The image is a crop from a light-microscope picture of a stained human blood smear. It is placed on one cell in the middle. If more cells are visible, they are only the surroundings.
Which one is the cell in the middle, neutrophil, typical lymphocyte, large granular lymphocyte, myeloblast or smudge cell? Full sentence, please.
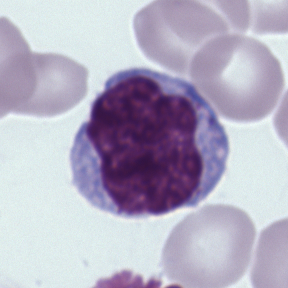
The cell of interest, located centrally, is a typical lymphocyte.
